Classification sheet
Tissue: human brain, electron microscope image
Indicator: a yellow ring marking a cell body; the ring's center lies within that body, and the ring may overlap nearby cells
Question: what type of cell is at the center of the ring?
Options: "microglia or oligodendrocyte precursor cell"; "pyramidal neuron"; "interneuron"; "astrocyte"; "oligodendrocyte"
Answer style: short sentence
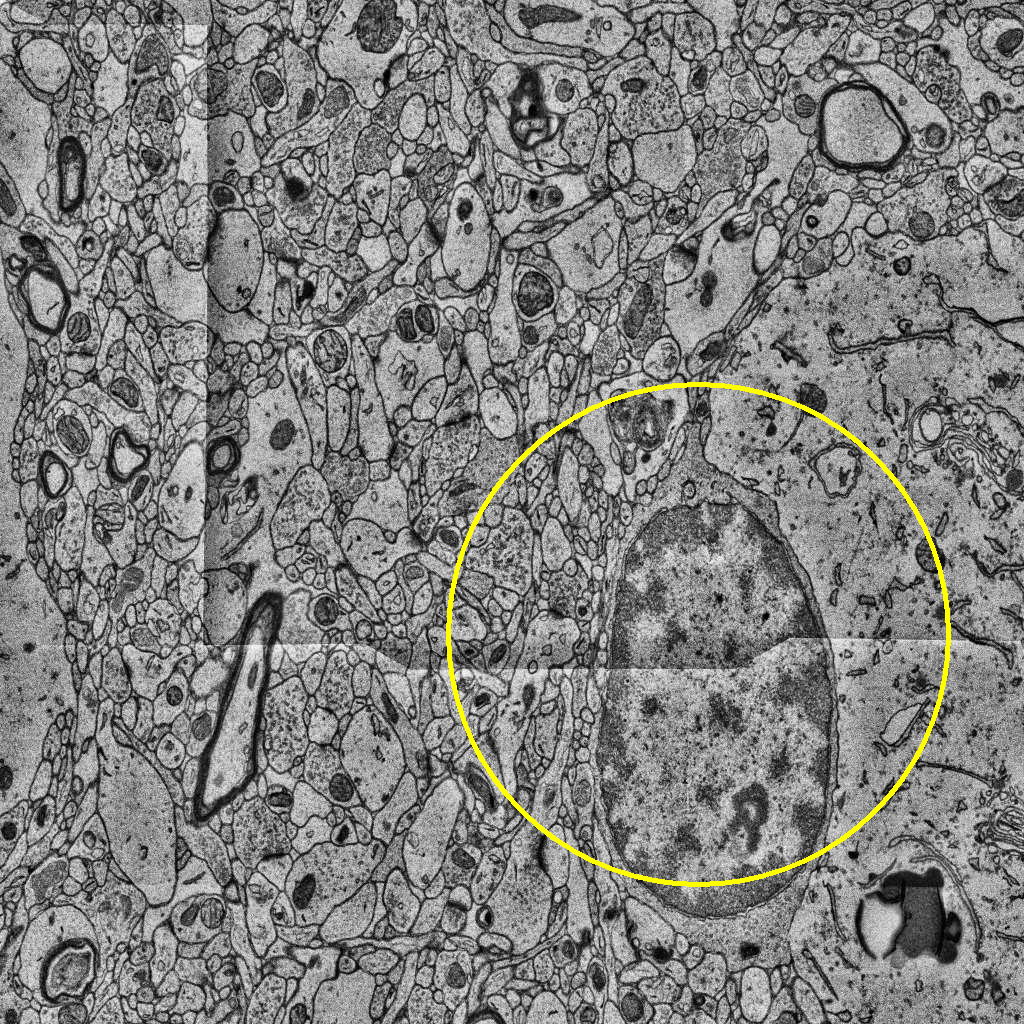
At the ring's center is an oligodendrocyte.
